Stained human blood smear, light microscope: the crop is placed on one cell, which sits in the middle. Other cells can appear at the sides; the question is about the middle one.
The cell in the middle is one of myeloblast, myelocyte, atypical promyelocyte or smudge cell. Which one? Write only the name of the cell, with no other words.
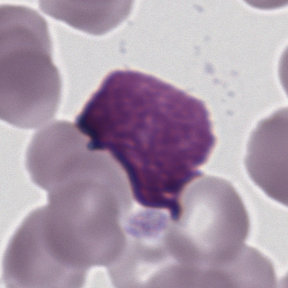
smudge cell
